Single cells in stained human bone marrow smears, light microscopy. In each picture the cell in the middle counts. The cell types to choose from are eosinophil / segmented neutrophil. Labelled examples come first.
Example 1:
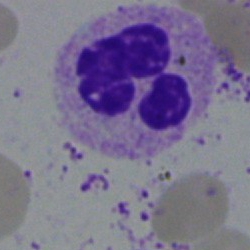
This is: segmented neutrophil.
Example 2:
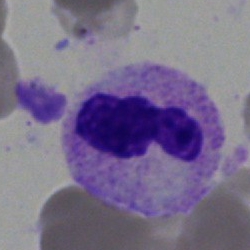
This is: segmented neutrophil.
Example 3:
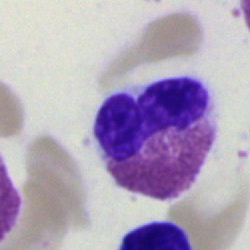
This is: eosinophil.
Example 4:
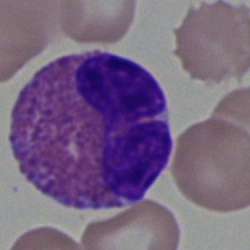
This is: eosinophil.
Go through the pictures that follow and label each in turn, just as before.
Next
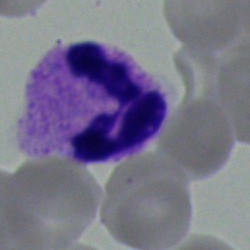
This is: segmented neutrophil.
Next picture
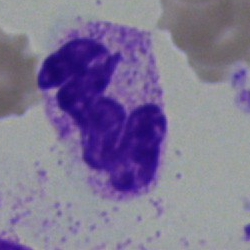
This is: segmented neutrophil.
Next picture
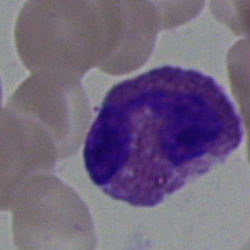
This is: eosinophil.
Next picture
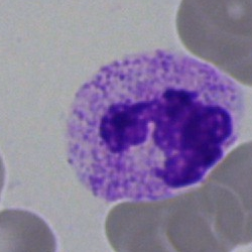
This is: segmented neutrophil.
